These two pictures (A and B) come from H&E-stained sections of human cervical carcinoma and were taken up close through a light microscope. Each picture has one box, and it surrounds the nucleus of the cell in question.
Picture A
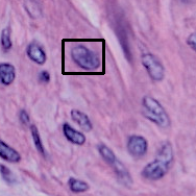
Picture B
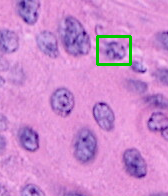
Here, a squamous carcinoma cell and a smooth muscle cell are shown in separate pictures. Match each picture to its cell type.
A: smooth muscle cell
B: squamous carcinoma cell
